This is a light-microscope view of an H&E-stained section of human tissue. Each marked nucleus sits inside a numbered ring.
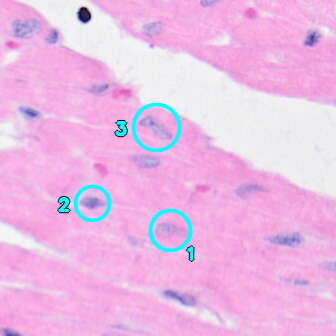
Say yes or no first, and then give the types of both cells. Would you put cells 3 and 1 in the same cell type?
Yes, cell 3 and cell 1 are both cardiomyocytes.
